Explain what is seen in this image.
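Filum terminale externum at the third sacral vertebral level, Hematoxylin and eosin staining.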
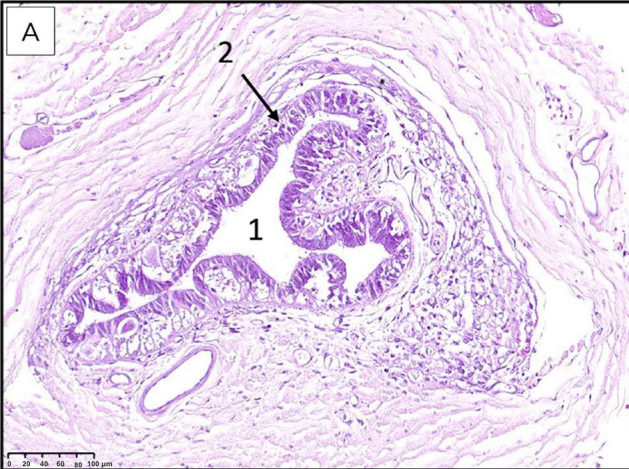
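This section shows a central canal lined by ependymal cells and surrounded by neural tissue. A small separate vessel-like lumen lies below the canal.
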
